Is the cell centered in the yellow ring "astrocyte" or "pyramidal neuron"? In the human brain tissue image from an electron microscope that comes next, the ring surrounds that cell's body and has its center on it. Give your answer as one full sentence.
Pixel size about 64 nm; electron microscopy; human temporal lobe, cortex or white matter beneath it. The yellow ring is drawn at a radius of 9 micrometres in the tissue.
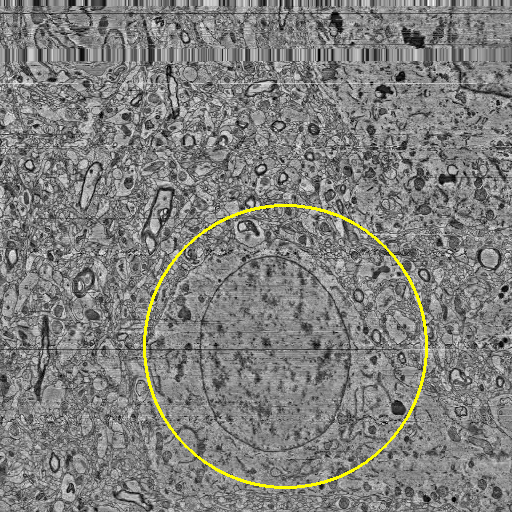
The cell at the center of the yellow ring is a pyramidal neuron in the micrograph.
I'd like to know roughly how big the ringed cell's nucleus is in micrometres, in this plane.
In this plane, about 13 micrometres in length and 10 in width.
